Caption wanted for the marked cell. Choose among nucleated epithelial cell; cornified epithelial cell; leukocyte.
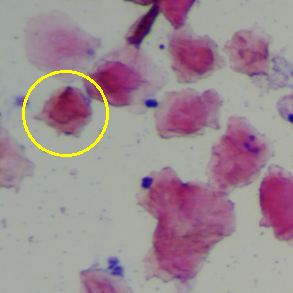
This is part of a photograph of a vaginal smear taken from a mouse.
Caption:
Ringed in yellow is a cornified epithelial cell.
